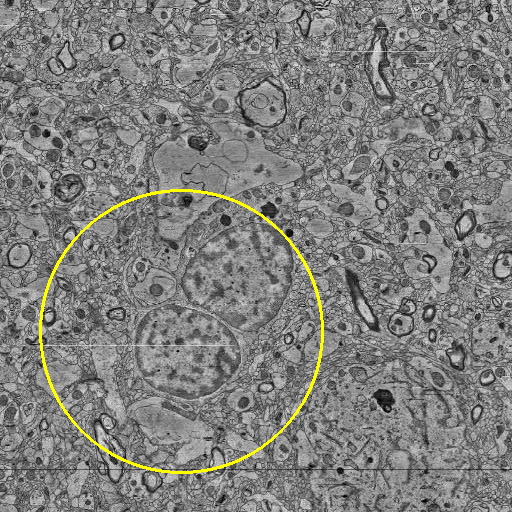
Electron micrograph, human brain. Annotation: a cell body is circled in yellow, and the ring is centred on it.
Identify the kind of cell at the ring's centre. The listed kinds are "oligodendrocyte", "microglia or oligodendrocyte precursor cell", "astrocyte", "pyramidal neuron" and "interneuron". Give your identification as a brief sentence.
The circled cell body is that of an oligodendrocyte.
